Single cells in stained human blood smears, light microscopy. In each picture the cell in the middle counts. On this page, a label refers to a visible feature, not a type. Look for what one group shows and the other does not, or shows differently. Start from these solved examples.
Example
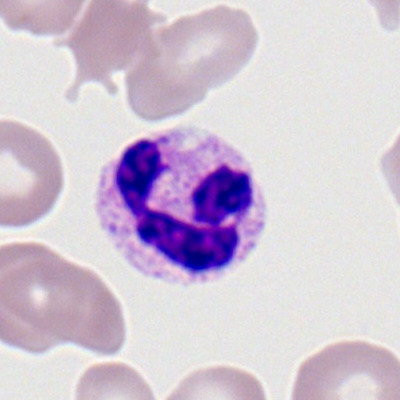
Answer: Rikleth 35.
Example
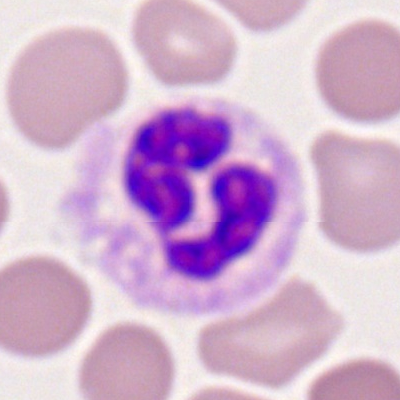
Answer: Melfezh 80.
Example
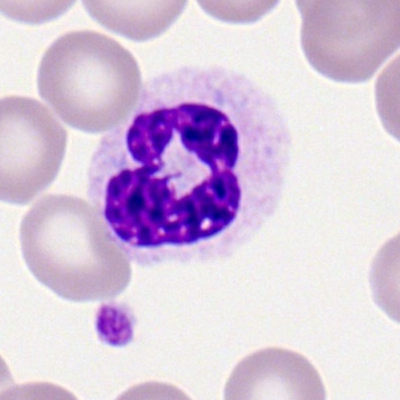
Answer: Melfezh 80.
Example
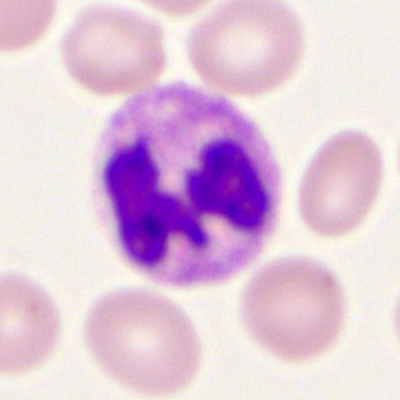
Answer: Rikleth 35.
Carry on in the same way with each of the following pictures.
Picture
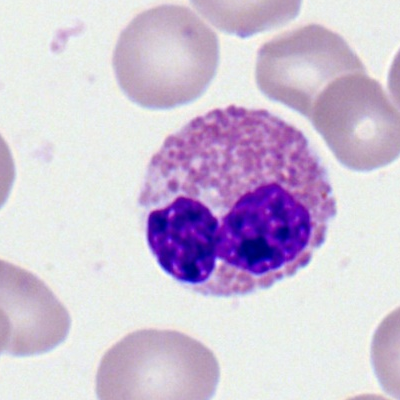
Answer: Rikleth 35.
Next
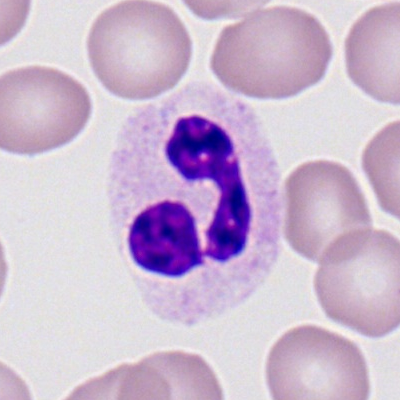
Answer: Rikleth 35.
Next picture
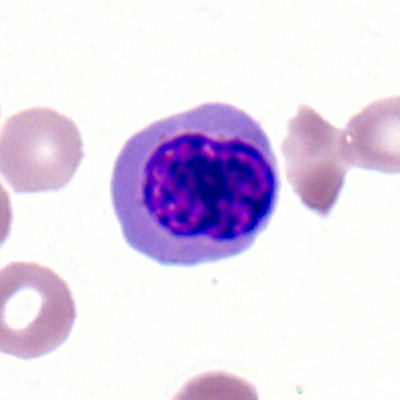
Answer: Rikleth 35.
